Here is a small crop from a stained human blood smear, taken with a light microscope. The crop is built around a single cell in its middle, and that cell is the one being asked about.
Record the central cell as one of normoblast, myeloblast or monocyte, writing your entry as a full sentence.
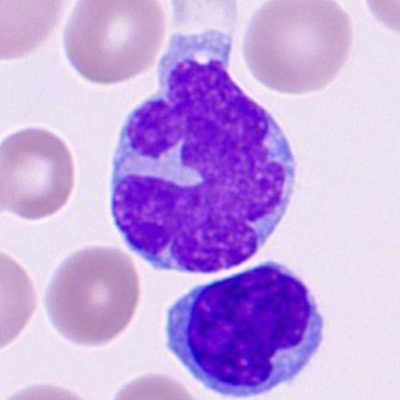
The cell centered in this field of view is a monocyte.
